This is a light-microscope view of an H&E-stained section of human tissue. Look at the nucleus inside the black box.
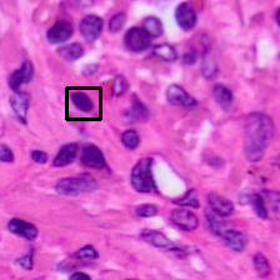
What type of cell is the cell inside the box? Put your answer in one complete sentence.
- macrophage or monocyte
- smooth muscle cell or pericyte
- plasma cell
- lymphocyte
By cell type, the cell inside the box is a plasma cell.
